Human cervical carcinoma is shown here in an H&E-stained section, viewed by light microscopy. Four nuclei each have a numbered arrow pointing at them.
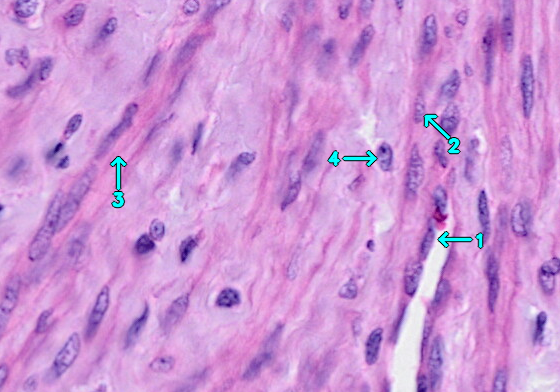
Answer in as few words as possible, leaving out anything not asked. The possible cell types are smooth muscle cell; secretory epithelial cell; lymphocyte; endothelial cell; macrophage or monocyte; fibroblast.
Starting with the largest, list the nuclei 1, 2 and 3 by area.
3, 1, 2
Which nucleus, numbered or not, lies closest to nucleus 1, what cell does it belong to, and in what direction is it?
an endothelial cell, below and to the right of nucleus 1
